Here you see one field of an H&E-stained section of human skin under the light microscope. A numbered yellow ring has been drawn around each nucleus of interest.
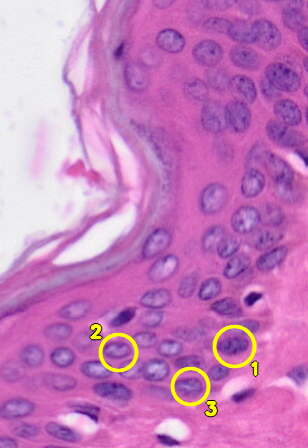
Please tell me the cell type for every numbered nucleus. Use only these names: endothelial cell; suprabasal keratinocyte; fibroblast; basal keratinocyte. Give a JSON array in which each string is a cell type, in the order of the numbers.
["basal keratinocyte", "suprabasal keratinocyte", "basal keratinocyte"]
